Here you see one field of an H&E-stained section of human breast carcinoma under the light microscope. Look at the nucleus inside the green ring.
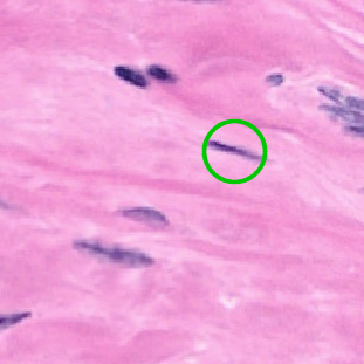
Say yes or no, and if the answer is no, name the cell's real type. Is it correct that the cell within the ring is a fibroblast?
Yes.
